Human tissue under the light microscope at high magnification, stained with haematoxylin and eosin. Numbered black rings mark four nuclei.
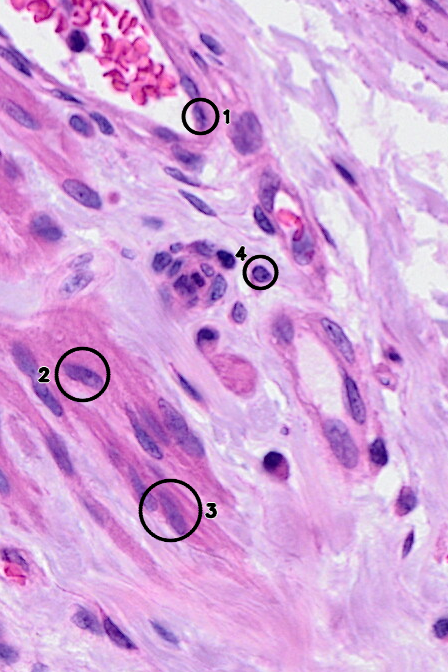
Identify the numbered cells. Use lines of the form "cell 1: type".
cell 1: endothelial cell
cell 2: smooth muscle cell
cell 3: smooth muscle cell
cell 4: lymphocyte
